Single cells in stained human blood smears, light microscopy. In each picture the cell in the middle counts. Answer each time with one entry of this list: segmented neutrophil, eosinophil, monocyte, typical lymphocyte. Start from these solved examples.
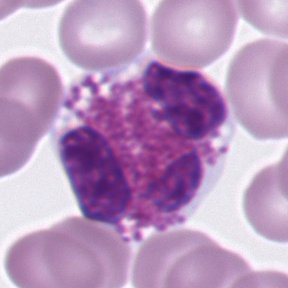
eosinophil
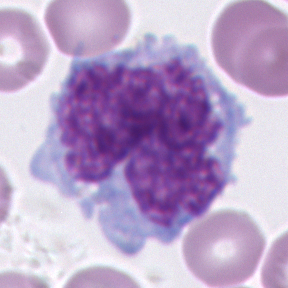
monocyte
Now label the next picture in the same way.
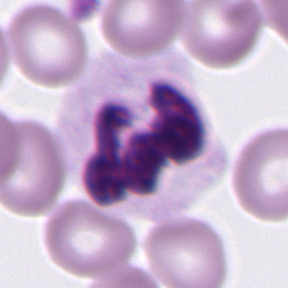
segmented neutrophil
